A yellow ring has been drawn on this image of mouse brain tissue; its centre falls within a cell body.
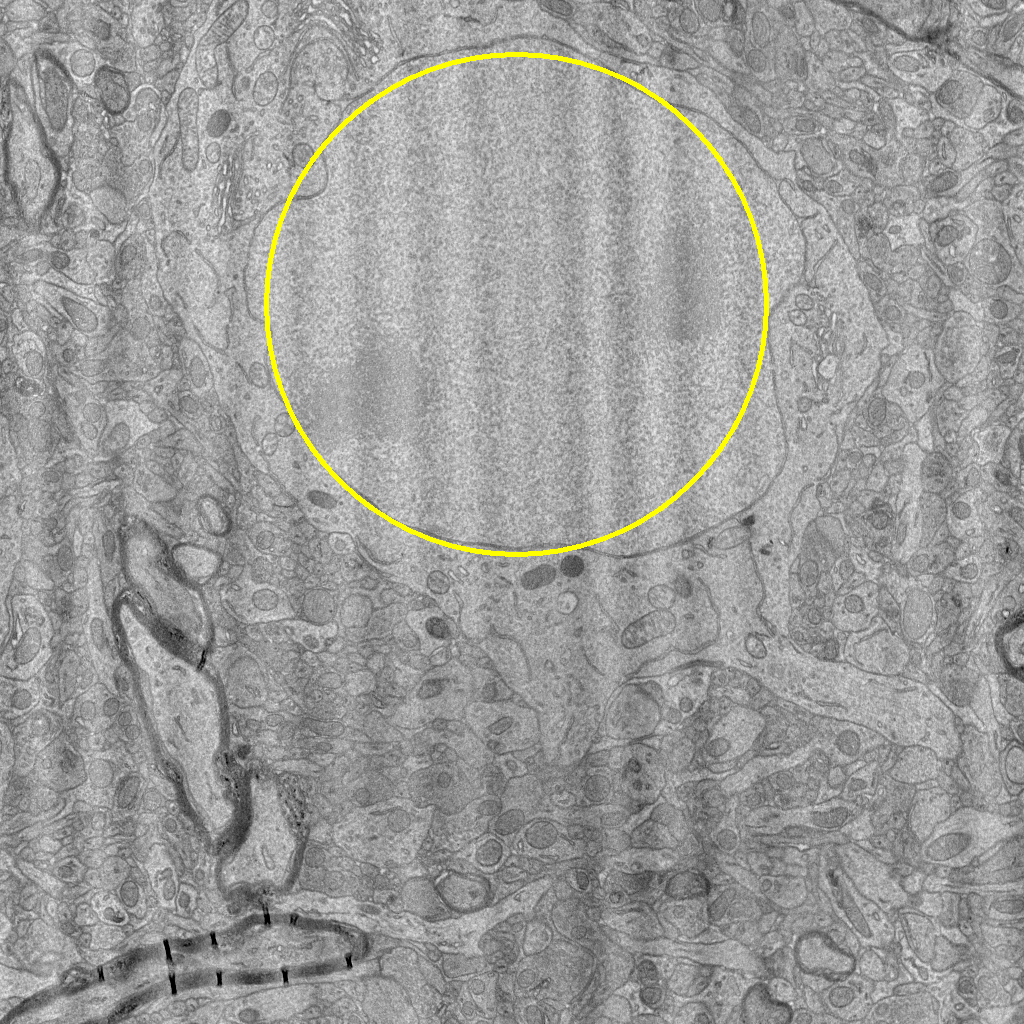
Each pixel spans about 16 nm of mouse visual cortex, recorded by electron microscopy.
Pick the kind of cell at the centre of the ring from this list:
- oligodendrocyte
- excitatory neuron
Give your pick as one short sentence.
The centre of the ring holds an excitatory neuron.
